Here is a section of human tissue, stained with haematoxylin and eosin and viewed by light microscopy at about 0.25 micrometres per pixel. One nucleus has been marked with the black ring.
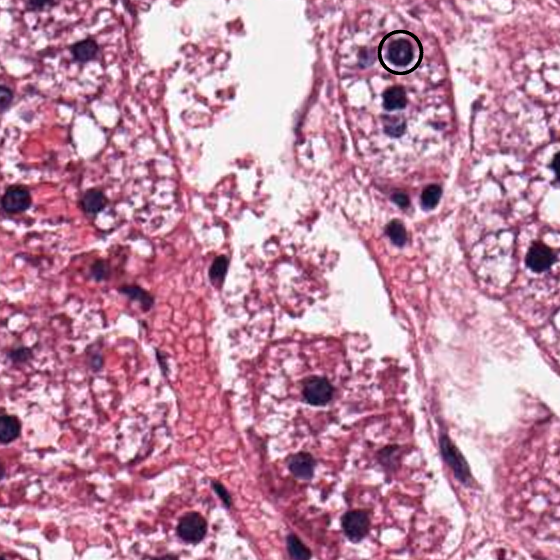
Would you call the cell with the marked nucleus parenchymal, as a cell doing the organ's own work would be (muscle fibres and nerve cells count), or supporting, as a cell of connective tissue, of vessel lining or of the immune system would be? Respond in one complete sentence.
The marked nucleus is the nucleus of a parenchymal cell, that is, an adrenal cortical cell.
